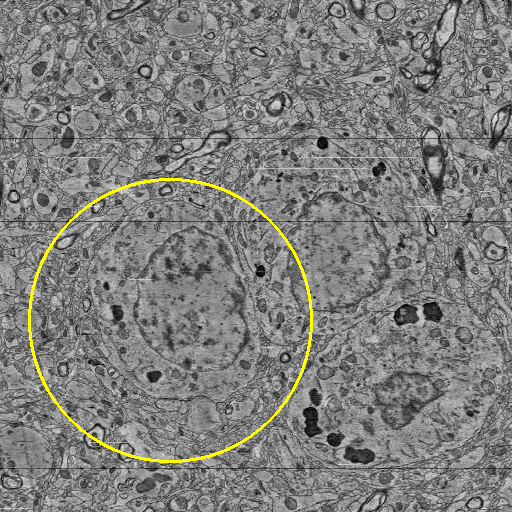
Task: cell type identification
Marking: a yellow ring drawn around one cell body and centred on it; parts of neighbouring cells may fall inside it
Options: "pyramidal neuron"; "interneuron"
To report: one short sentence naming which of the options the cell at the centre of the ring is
The cell at the centre of the ring is an interneuron.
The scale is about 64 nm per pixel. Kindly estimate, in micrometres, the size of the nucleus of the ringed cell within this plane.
The ringed cell's nucleus measures approximately 10 by 8 micrometres in this plane.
